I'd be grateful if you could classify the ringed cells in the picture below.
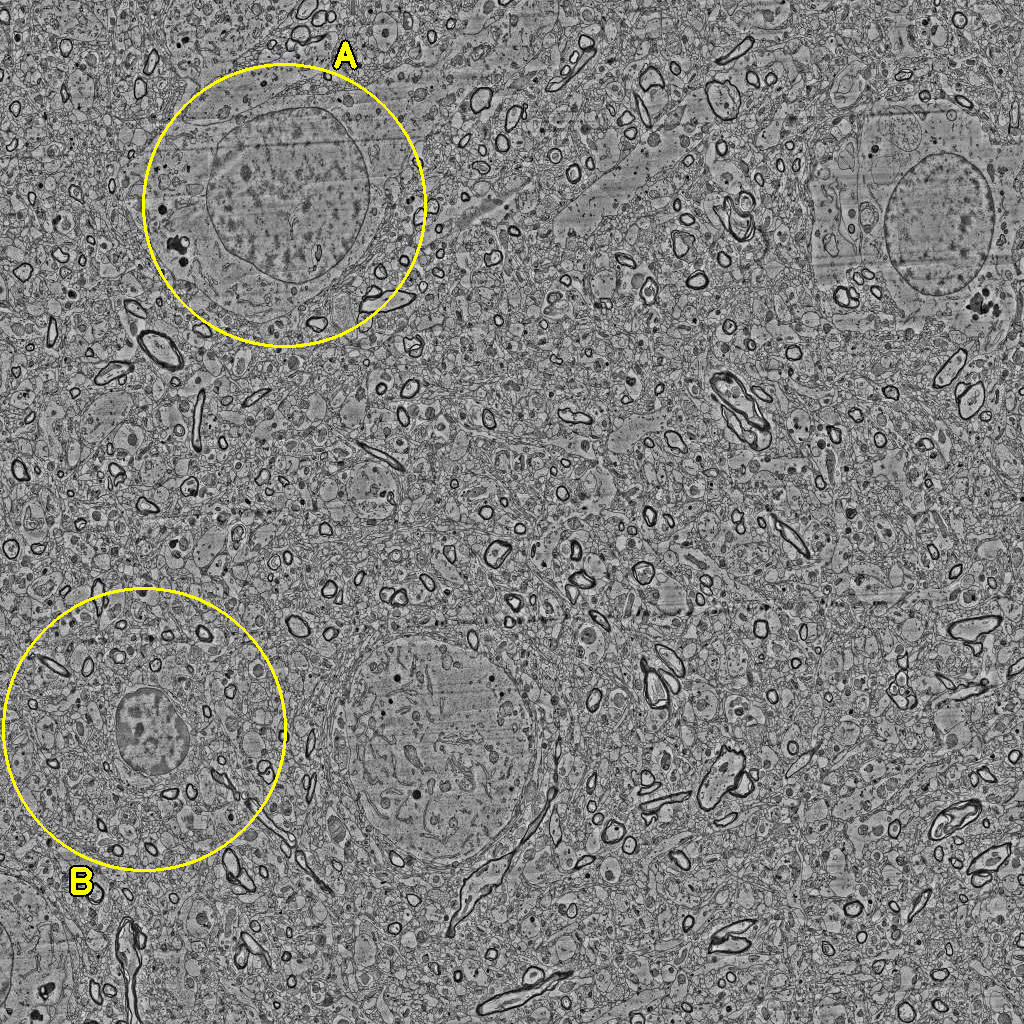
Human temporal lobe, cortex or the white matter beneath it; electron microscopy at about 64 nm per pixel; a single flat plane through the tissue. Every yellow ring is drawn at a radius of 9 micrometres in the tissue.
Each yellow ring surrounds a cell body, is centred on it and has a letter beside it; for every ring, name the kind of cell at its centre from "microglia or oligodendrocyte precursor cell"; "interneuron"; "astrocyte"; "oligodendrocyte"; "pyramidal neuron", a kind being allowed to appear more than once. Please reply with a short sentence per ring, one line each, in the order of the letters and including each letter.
In ring A we have a pyramidal neuron.
In ring B we have a microglial cell or oligodendrocyte precursor cell.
